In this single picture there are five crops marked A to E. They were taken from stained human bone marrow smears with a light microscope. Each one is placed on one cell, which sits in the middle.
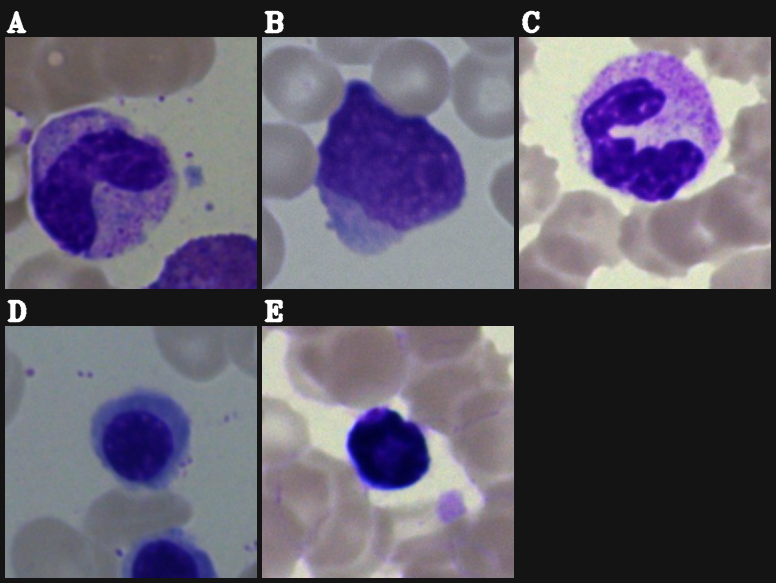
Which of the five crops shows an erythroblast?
D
